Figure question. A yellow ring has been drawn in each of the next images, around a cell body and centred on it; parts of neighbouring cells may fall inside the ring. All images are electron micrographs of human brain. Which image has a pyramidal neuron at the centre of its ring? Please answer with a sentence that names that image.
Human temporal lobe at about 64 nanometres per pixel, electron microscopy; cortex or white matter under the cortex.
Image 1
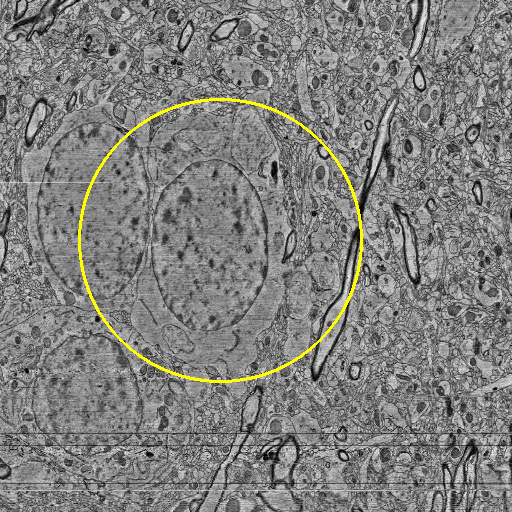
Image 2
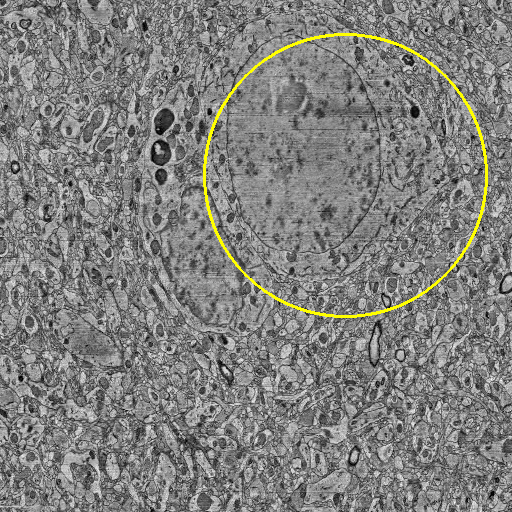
The cell at the centre of the ring in Image 2 is of that kind.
